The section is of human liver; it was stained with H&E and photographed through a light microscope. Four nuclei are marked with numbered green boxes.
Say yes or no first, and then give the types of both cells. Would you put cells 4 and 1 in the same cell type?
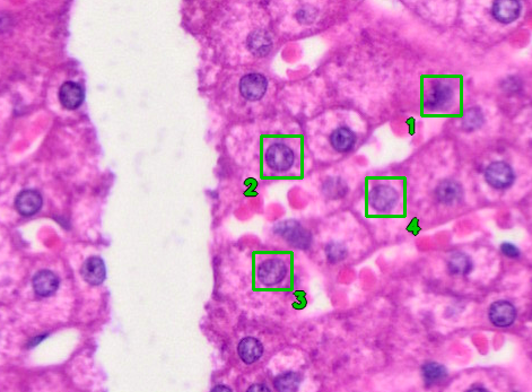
No, hold on, cell 4 is a hepatocyte and cell 1 is an endothelial cell.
